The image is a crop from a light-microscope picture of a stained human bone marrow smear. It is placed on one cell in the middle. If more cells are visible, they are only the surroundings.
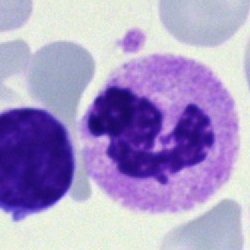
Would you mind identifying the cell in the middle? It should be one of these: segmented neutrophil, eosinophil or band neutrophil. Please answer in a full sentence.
Seen at the centre of the crop is a segmented neutrophil.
